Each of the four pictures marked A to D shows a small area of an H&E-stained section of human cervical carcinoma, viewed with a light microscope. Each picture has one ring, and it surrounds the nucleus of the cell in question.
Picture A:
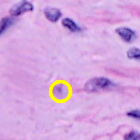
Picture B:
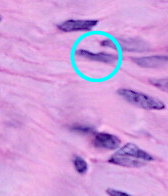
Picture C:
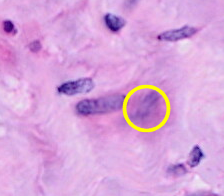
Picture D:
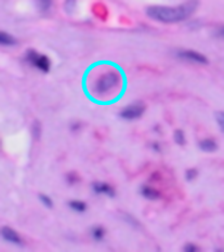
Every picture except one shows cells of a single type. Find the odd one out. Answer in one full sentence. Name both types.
Picture B is the odd one out: it shows a fibroblast, while the others show smooth muscle cells.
